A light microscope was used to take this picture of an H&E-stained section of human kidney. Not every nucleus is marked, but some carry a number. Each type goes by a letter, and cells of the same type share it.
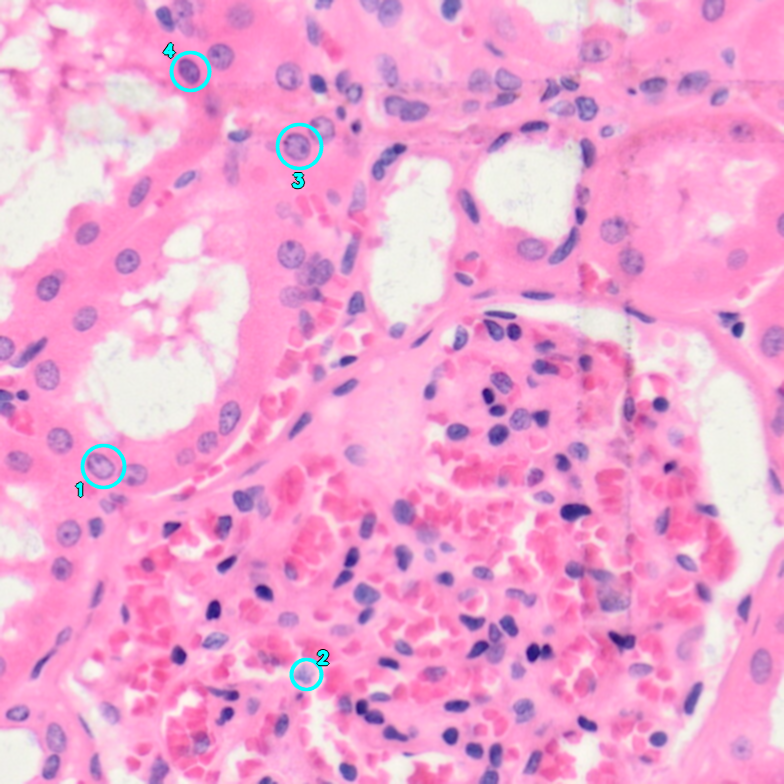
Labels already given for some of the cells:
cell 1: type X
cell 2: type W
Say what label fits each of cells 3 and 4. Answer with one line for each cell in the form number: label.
3: type X
4: type X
